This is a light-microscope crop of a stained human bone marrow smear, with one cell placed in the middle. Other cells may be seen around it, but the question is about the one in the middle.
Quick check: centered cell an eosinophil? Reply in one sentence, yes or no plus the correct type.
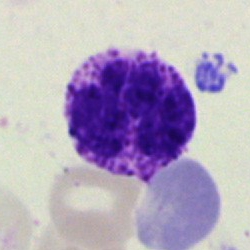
No, the cell at the centre is identified as a basophil, not as an eosinophil.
